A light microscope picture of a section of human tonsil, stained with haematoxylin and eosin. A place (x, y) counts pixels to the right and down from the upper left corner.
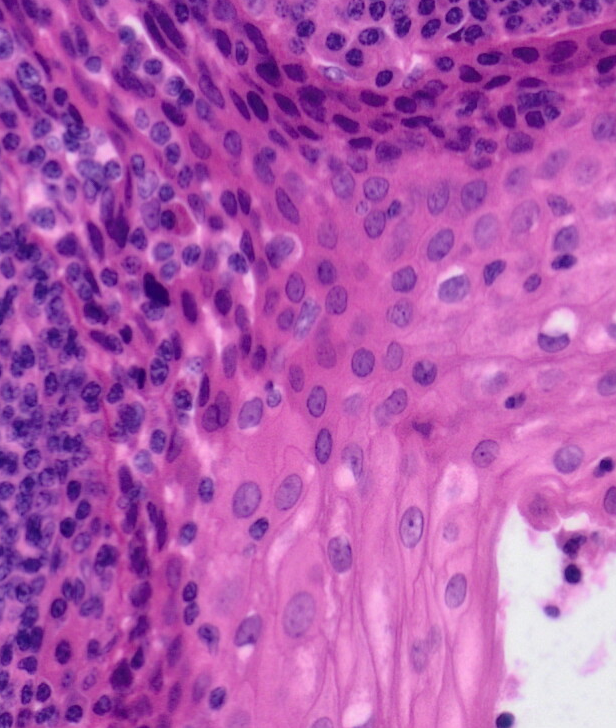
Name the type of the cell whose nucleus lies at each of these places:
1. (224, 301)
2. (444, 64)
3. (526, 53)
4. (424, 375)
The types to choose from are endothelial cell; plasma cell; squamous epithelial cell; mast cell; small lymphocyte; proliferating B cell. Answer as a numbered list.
1. squamous epithelial cell
2. plasma cell
3. squamous epithelial cell
4. squamous epithelial cell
